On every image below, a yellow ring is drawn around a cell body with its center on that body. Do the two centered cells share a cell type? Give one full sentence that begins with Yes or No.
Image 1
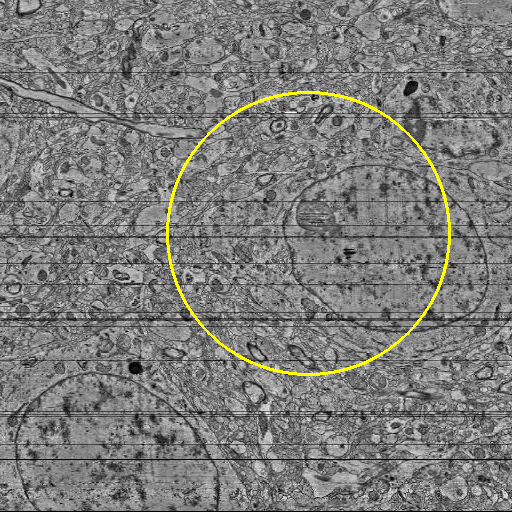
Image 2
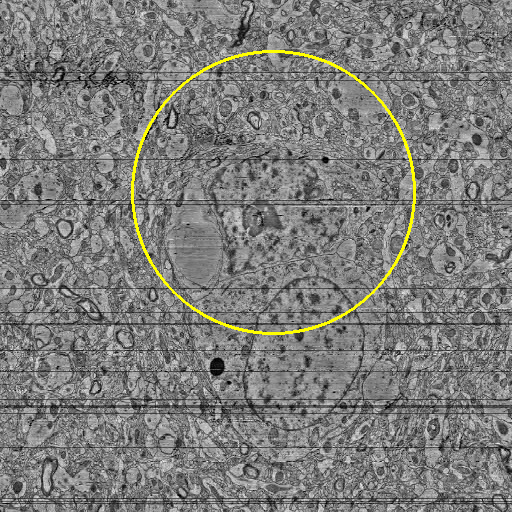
No, the centered cells in the two images are of two separate cell types.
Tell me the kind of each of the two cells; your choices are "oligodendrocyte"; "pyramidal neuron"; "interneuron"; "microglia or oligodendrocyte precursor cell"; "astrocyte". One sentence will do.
The ringed cell is a pyramidal neuron in the first picture and an interneuron in the second picture.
